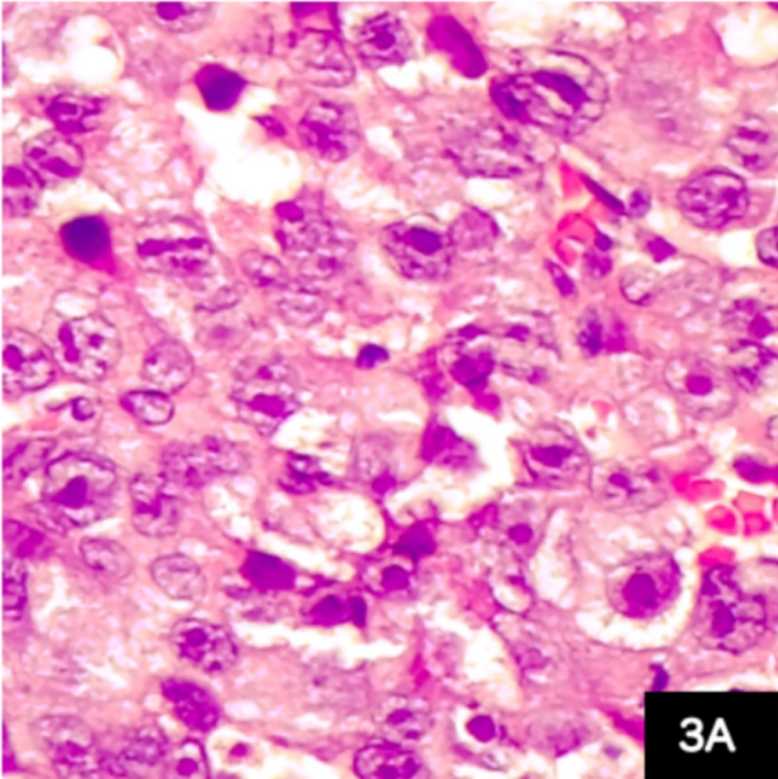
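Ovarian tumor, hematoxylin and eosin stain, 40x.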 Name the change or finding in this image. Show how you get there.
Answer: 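Abundant clear or slightly eosinophilic cytoplasm. Cells have pale to clear areas of cytoplasm with a faint pink tinge. Cytoplasm is ample around the nuclei.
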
